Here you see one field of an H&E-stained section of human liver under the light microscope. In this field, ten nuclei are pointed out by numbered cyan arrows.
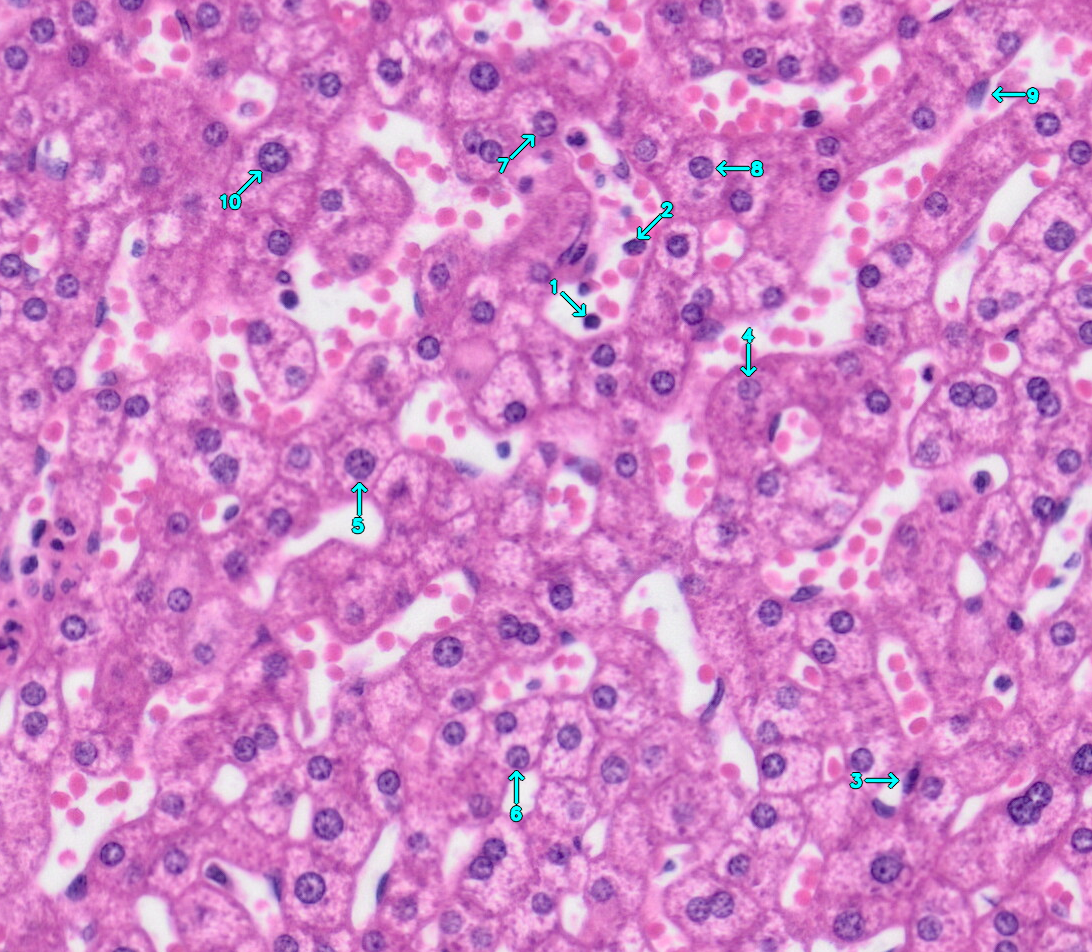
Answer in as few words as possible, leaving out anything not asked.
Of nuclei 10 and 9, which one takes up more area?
10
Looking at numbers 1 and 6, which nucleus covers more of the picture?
6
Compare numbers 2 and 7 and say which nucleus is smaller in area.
2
